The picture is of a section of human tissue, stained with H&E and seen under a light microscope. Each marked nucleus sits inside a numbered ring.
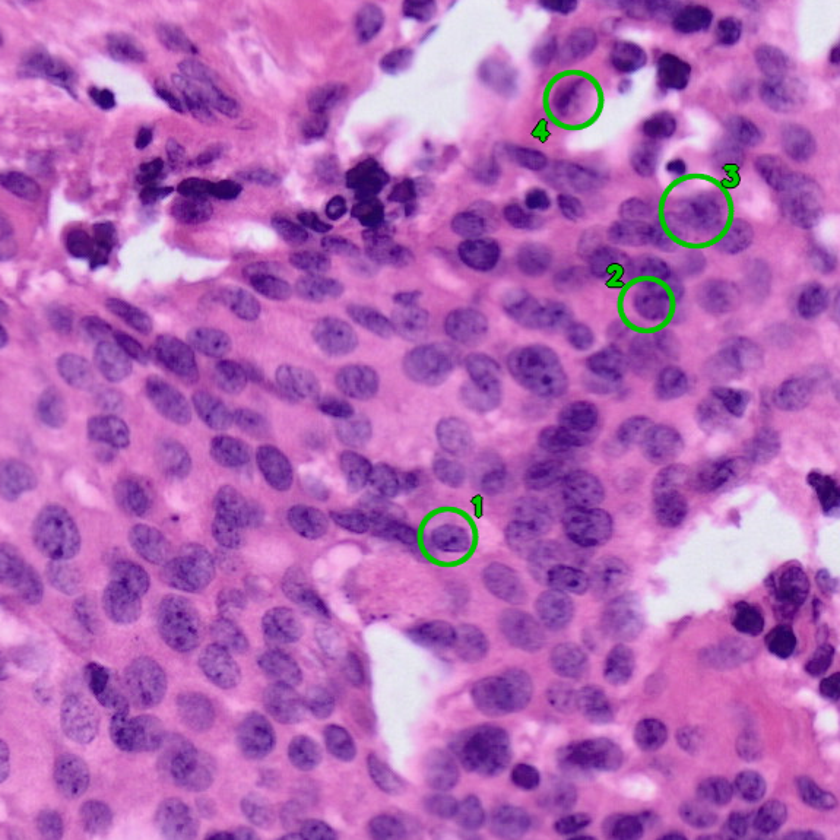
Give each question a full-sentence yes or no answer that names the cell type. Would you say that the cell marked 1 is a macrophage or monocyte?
Yes, among the marked cells, the one with number 1 is a macrophage or monocyte.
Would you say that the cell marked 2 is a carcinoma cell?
Yes, number 2 is assigned to a cell that is a carcinoma cell.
